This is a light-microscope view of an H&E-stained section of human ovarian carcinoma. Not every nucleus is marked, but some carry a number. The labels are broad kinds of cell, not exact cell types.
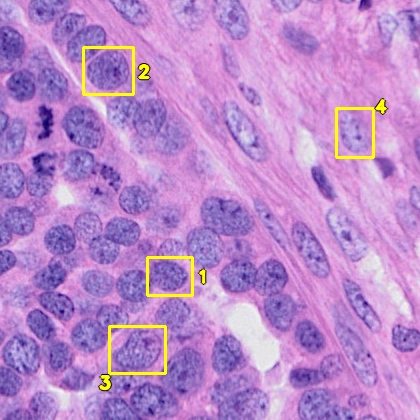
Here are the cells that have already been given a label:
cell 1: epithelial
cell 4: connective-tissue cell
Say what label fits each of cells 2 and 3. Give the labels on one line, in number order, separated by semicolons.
epithelial; epithelial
